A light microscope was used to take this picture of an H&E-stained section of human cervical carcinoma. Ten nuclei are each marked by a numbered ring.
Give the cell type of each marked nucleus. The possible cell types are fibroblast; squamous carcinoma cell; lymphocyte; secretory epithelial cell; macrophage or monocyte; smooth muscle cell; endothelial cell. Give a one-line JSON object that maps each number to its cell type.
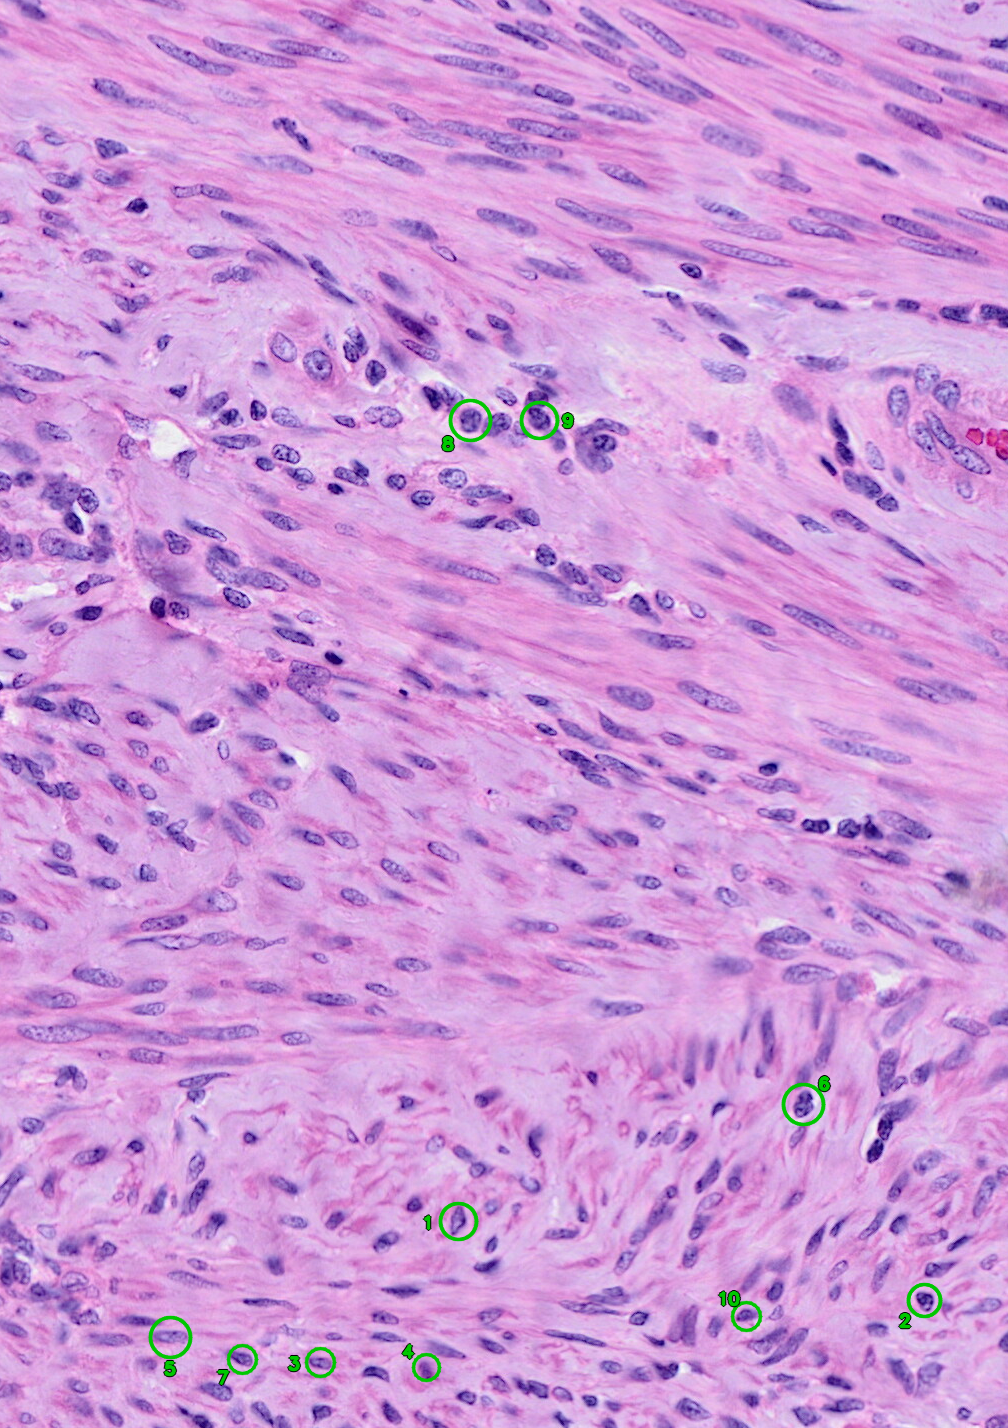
{"1": "smooth muscle cell", "2": "lymphocyte", "3": "smooth muscle cell", "4": "smooth muscle cell", "5": "smooth muscle cell", "6": "lymphocyte", "7": "smooth muscle cell", "8": "lymphocyte", "9": "lymphocyte", "10": "smooth muscle cell"}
